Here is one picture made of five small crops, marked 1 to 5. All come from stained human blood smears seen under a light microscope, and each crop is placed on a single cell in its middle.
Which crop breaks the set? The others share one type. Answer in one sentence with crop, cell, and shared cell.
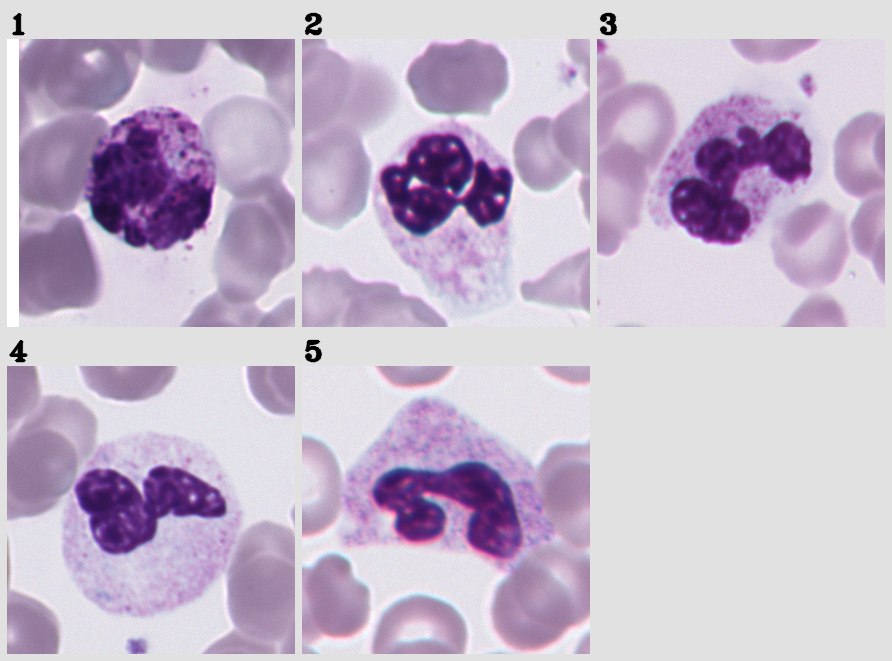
The pattern of neutrophils across the crops is broken only by crop 1, which shows a basophil.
